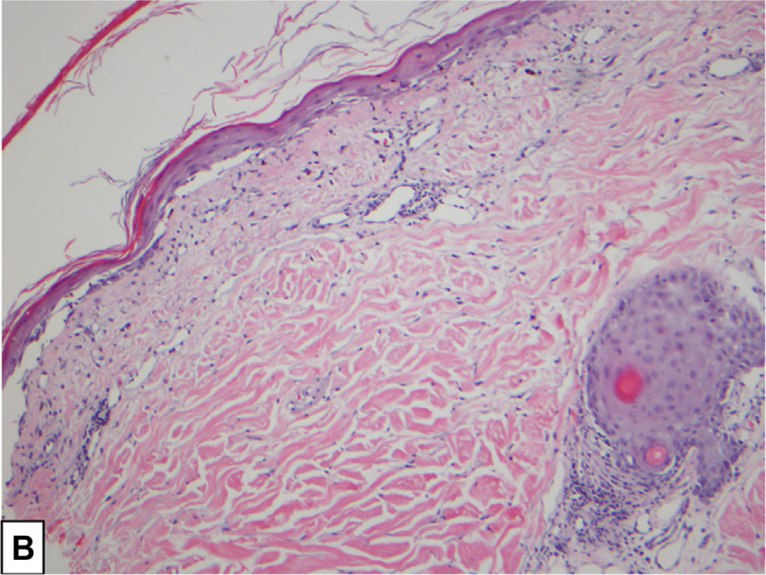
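Skin is seen in section: a thin purple band of epidermis runs along the upper left edge, capped by a wavy pink layer of keratin, and it is flat, only a few cell layers thick, without rete ridges. Beneath it the dermis is filled with pink, wavy collagen bundles. Small vessels in the upper dermis are surrounded by a few small clusters of dark round nuclei. At lower right lies a round purple nest of epithelial cells with bright pink keratinous centres, a cut adnexal structure with some dark cells around it. This is an atrophic epidermis with a scant superficial perivascular lymphocytic infiltrate.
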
